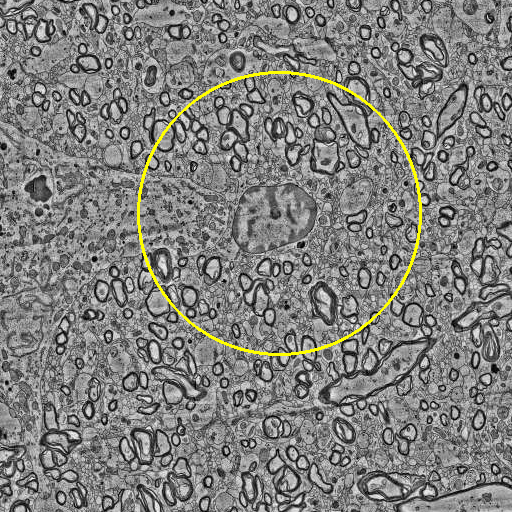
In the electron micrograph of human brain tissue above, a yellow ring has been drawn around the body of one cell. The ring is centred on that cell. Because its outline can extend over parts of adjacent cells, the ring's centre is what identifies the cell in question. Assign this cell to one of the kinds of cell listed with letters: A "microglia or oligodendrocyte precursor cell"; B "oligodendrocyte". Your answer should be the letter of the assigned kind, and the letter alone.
A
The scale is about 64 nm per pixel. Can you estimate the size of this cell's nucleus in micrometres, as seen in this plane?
Roughly 6 micrometres by 4 micrometres, in this plane.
